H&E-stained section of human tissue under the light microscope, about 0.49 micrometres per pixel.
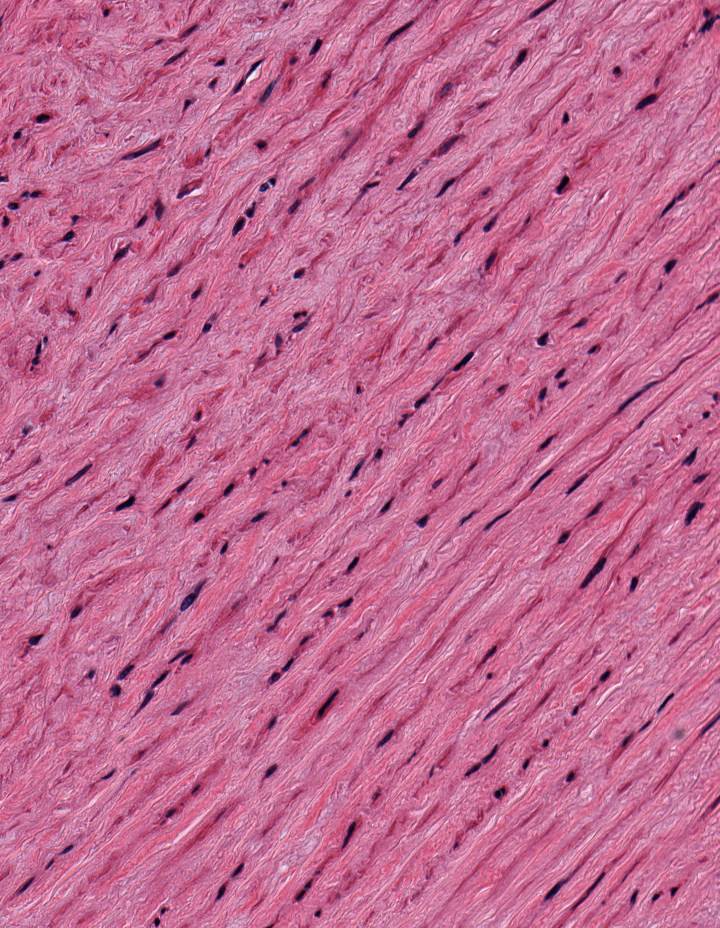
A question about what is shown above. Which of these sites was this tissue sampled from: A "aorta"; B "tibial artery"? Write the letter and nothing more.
A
